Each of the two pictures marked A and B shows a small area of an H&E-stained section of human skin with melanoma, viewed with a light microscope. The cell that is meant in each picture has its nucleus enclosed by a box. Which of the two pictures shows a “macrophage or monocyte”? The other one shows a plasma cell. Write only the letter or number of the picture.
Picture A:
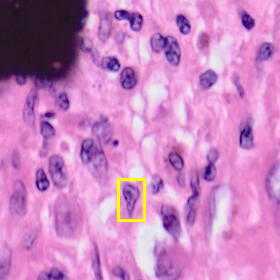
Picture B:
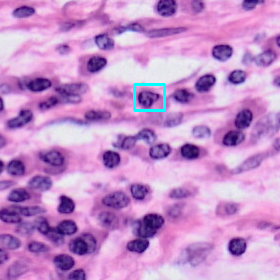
A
